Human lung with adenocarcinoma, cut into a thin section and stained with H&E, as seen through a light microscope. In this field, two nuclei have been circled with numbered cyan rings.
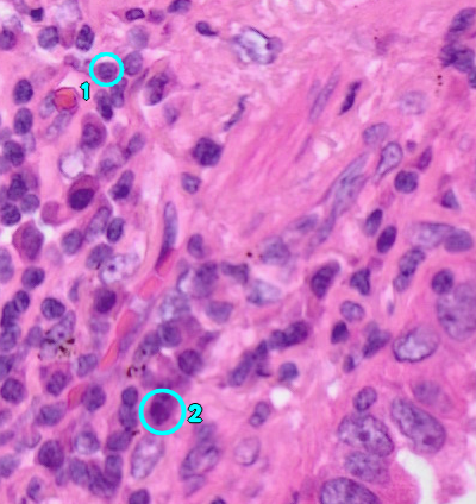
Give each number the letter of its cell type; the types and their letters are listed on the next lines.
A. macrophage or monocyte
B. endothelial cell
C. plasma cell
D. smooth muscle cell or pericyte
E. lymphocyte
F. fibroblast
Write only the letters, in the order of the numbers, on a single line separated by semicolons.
E; C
